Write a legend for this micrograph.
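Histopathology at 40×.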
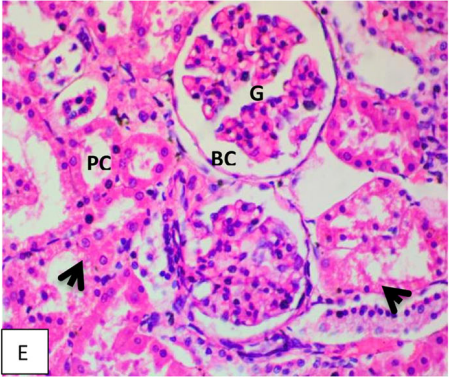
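This is kidney cortex with two glomeruli, each a lobulated tuft of capillaries with many purple nuclei sitting inside a Bowman capsule with a clear space around it. Around them lie proximal convoluted tubules whose cells have abundant pink cytoplasm and round, centrally placed nuclei. Some tubules, near the arrowheads, have paler, more irregular cytoplasm and less distinct cell outlines. Thin interstitial strands with elongated dark nuclei run between the tubules.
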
